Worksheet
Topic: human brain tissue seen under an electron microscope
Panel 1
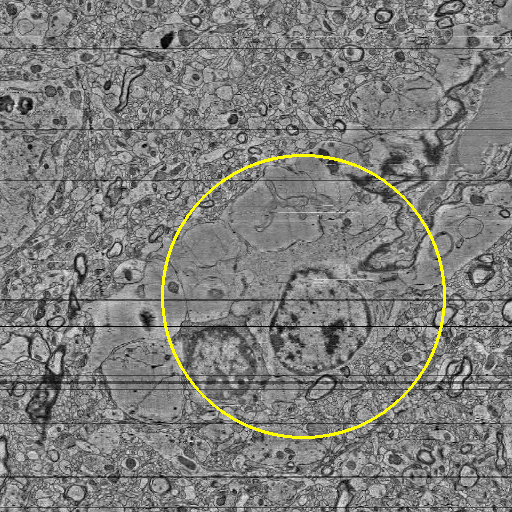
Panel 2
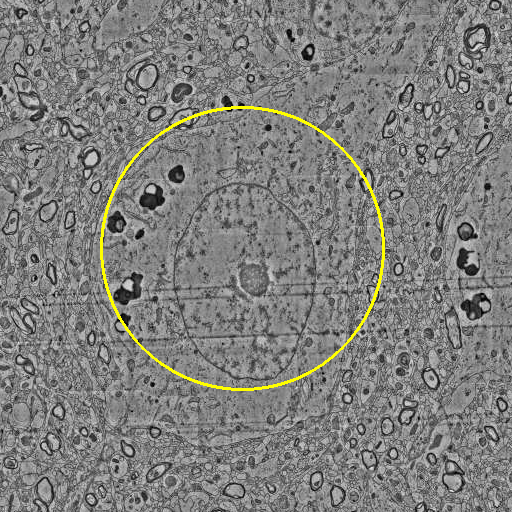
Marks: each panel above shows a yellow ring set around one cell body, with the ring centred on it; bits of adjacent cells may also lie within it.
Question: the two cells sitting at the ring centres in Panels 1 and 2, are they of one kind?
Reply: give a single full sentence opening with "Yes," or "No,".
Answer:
No, the two ring-centre cells in Panel 1 and Panel 2 are of two kinds.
